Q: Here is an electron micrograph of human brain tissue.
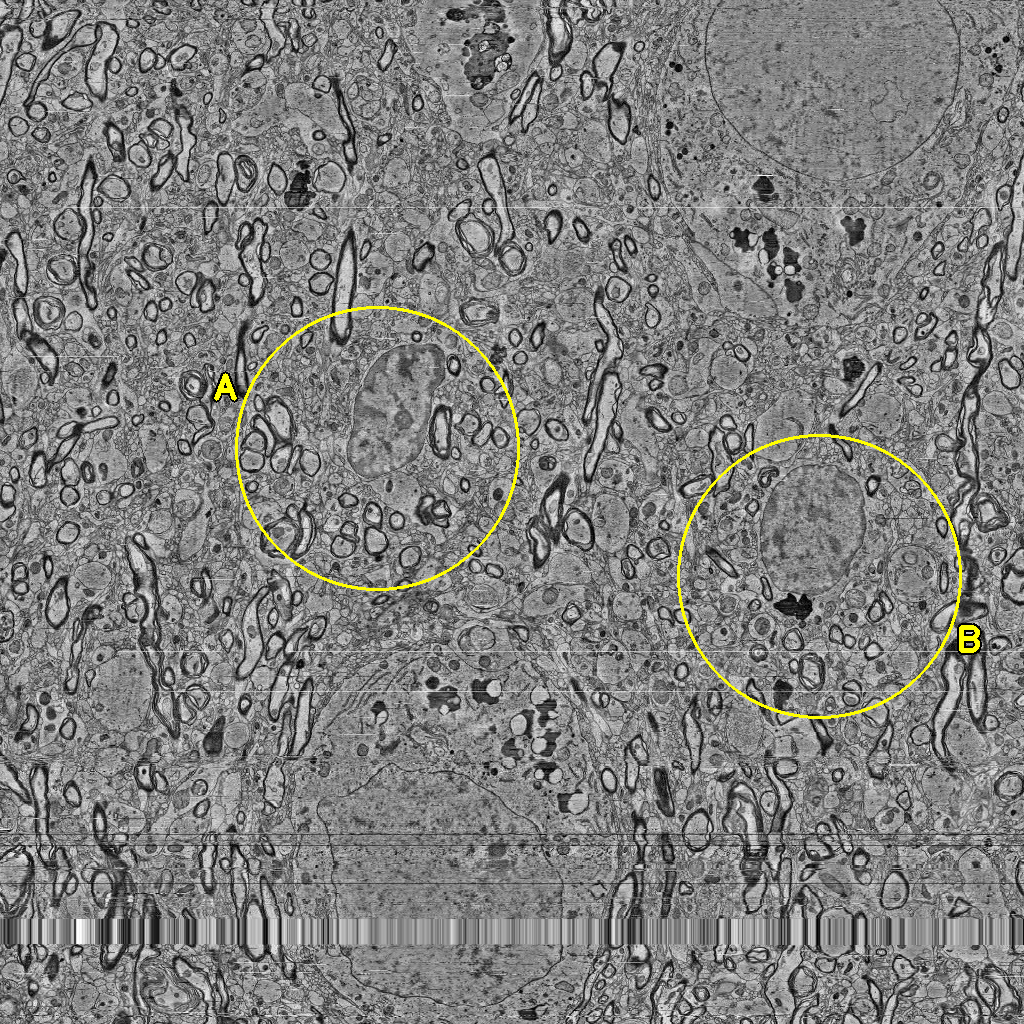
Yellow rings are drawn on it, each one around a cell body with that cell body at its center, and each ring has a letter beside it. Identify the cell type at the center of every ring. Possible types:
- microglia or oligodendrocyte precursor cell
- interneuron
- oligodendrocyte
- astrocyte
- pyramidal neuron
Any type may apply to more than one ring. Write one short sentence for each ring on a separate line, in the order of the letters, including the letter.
Centered in ring A is a microglial cell or oligodendrocyte precursor cell.
Centered in ring B is an oligodendrocyte.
